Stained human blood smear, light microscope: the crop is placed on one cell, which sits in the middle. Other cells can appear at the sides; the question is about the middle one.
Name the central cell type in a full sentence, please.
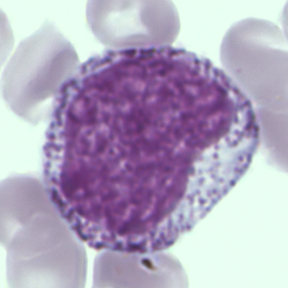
Centrally within this crop lies a myelocyte.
